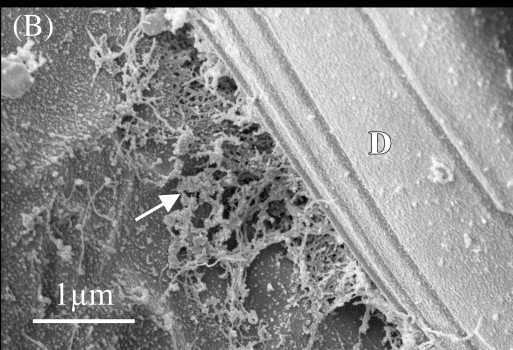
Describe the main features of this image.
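Right beside the diatom's edge the surface is covered by a loose, spongy mesh of fine strands and small knots, full of little holes, like a torn net. Away from the diatom the underlying surface is finely grainy and mostly bare, so the web-like matrix is gathered close against the diatom.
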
